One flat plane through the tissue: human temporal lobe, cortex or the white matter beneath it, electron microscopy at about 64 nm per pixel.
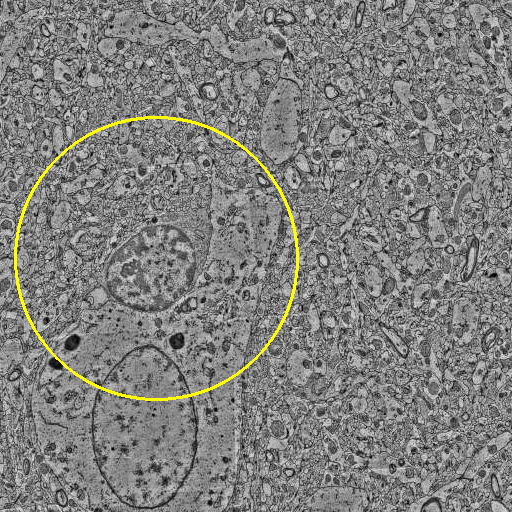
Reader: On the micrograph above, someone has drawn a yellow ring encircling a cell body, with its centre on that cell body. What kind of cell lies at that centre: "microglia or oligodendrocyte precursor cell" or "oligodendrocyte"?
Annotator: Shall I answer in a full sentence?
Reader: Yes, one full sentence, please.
Here an oligodendrocyte sits at the centre of the yellow ring drawn on the micrograph.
